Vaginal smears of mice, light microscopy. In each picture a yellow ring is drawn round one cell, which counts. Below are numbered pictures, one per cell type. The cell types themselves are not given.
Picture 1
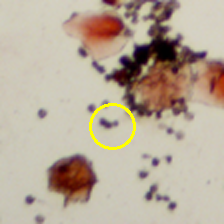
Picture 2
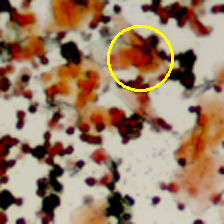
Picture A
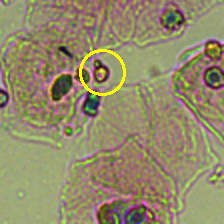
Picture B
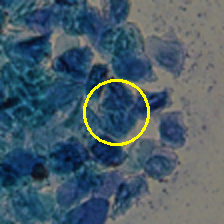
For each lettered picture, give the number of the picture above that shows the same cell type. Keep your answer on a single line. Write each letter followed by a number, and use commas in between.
A 1, B 2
